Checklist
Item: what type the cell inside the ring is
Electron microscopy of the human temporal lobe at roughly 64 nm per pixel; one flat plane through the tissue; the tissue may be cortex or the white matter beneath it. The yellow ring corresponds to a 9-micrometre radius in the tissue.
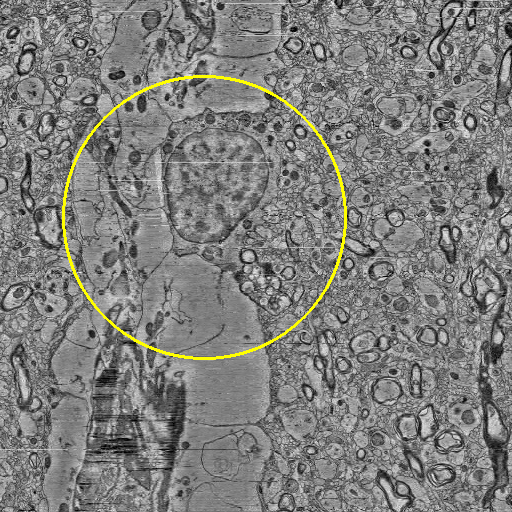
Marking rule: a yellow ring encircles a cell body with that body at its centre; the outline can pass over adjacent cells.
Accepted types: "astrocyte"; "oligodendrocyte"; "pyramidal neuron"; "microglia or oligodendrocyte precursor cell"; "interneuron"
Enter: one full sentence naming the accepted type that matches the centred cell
The entry is that an oligodendrocyte lies at the centre of the yellow ring.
